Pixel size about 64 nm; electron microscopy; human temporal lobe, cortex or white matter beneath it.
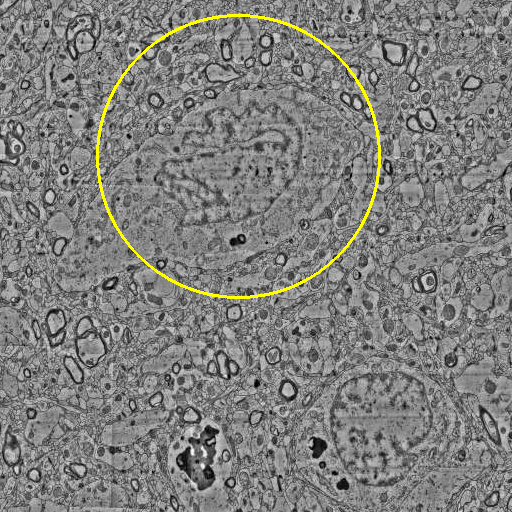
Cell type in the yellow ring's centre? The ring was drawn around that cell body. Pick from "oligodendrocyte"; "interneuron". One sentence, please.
The ringed cell body is that of an interneuron.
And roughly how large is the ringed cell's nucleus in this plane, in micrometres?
The nucleus comes to roughly 10 by 7 micrometres in this plane.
